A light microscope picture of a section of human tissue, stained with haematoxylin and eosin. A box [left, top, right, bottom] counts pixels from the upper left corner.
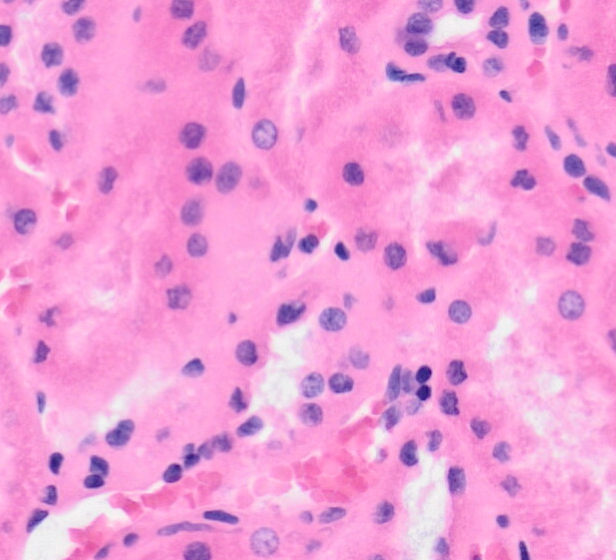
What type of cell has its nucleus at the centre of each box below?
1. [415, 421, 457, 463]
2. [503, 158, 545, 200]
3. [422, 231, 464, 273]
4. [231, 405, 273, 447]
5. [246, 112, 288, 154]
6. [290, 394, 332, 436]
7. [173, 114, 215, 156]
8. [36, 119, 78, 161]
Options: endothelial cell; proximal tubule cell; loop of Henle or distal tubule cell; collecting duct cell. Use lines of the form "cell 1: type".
cell 1: loop of Henle or distal tubule cell
cell 2: proximal tubule cell
cell 3: proximal tubule cell
cell 4: loop of Henle or distal tubule cell
cell 5: proximal tubule cell
cell 6: loop of Henle or distal tubule cell
cell 7: proximal tubule cell
cell 8: loop of Henle or distal tubule cell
